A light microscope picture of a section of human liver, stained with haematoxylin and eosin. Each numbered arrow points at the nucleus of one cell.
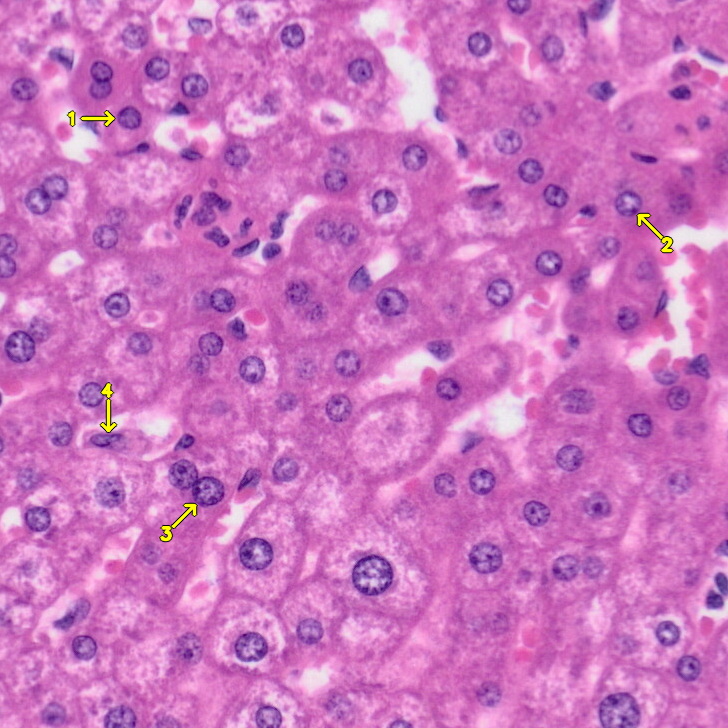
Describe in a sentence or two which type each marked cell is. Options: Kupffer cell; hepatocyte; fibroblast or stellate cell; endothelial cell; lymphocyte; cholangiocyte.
Cell 1 is a hepatocyte, cell 2 is a hepatocyte, cell 3 is a hepatocyte and cell 4 is a Kupffer cell.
